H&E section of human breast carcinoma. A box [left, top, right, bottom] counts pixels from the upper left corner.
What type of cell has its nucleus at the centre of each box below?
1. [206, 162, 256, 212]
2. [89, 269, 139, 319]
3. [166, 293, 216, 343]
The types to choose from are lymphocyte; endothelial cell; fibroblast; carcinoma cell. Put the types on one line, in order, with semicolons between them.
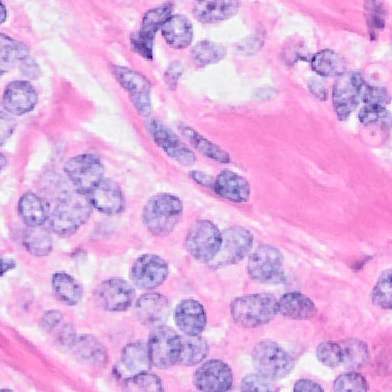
endothelial cell; carcinoma cell; carcinoma cell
